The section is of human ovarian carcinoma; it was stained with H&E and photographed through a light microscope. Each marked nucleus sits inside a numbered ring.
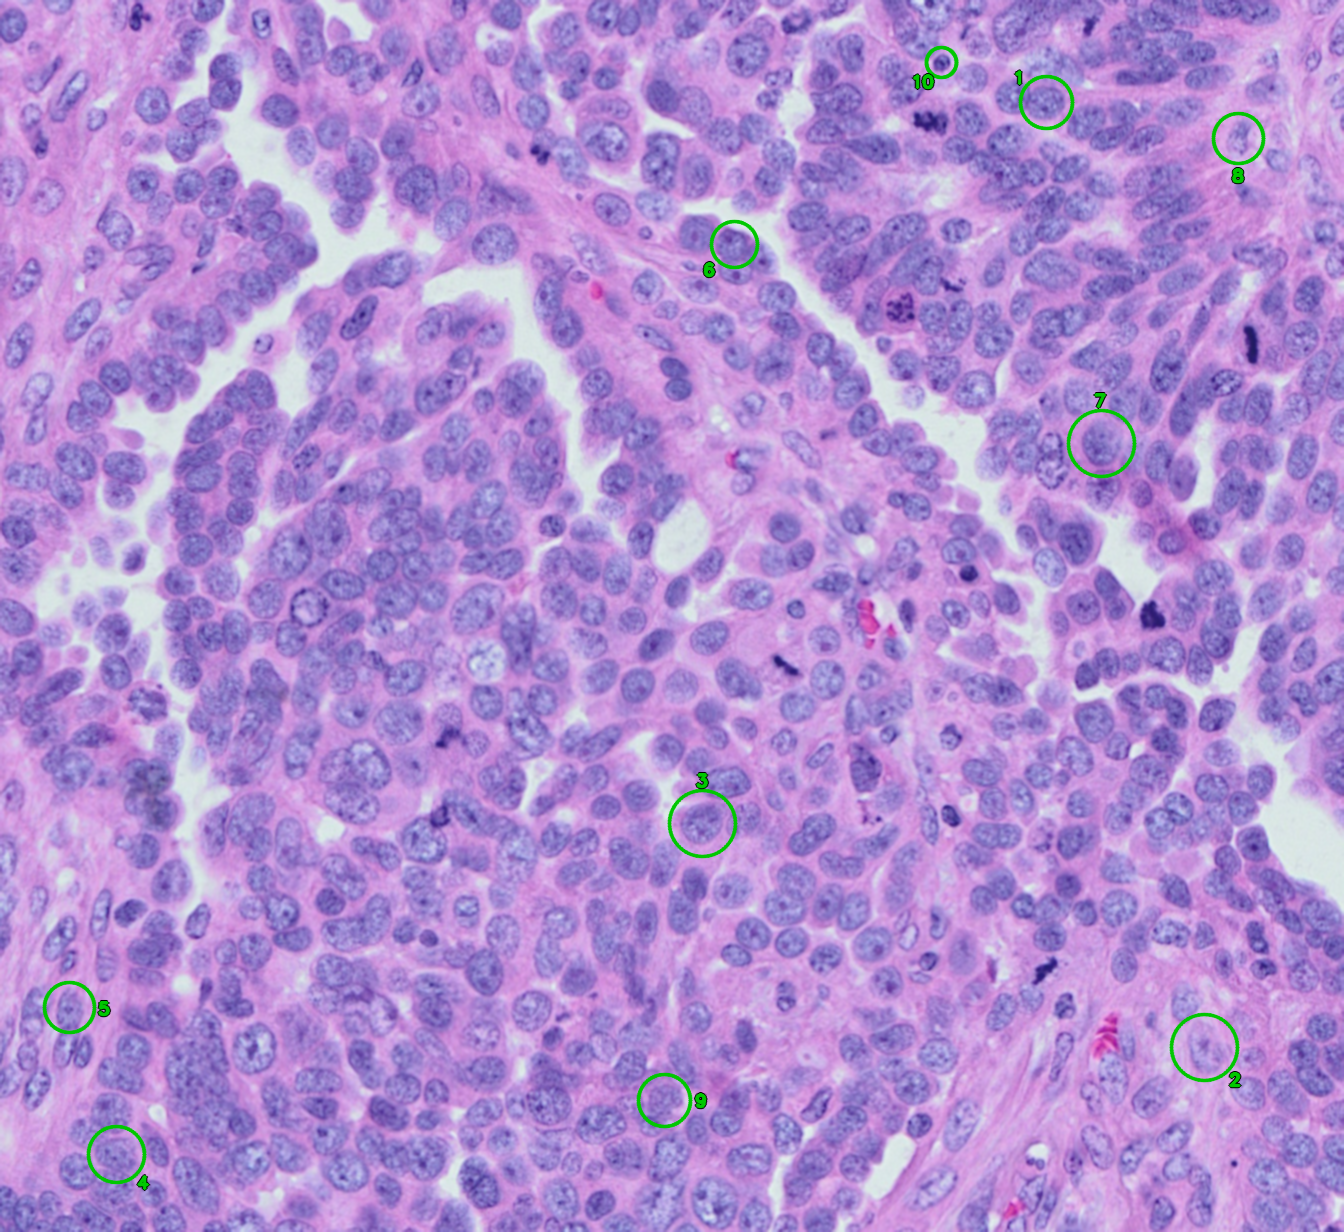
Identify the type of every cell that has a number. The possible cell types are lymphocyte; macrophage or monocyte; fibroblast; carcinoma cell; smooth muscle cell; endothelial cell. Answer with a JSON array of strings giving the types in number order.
["carcinoma cell", "fibroblast", "carcinoma cell", "carcinoma cell", "fibroblast", "carcinoma cell", "carcinoma cell", "fibroblast", "carcinoma cell", "lymphocyte"]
